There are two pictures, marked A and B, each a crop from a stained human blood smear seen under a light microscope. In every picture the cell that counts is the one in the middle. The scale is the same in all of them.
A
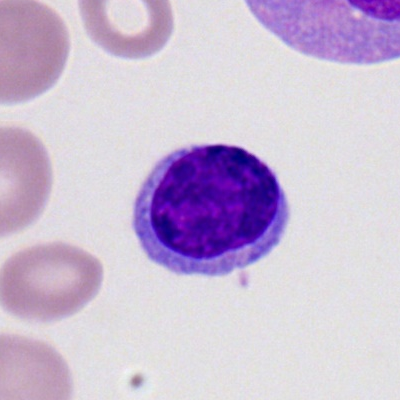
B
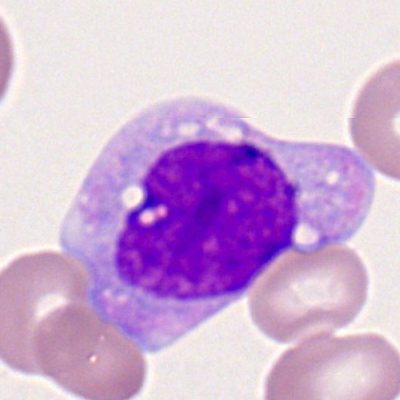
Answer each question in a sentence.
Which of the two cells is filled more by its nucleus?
In picture A the nucleus takes up the larger part of its cell.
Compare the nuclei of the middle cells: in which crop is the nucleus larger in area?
It is the nucleus in picture B, about 2 times as large in area as the one in picture A.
